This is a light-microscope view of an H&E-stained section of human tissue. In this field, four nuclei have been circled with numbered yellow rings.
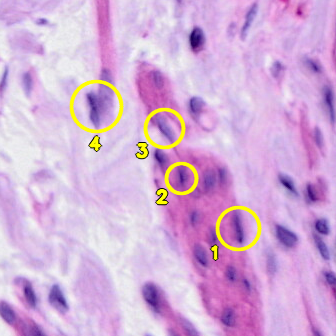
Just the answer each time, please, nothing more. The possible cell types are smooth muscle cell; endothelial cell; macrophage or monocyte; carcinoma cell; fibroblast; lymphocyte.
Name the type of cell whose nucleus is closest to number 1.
smooth muscle cell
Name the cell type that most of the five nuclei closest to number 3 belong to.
smooth muscle cell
